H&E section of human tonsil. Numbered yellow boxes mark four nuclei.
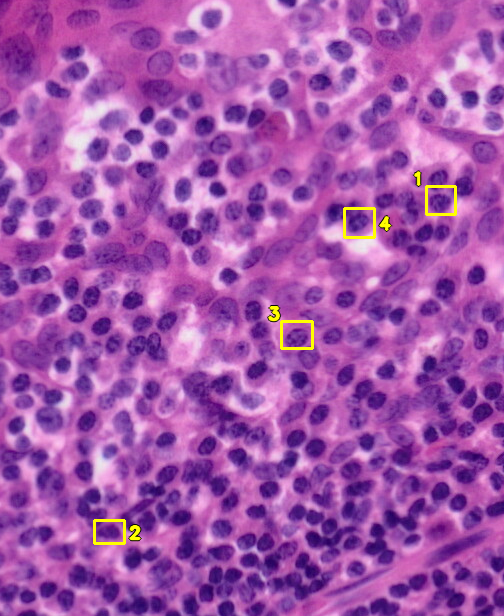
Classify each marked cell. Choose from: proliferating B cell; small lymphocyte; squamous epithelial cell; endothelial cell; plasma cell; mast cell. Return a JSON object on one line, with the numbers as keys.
{"1": "plasma cell", "2": "squamous epithelial cell", "3": "plasma cell", "4": "plasma cell"}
